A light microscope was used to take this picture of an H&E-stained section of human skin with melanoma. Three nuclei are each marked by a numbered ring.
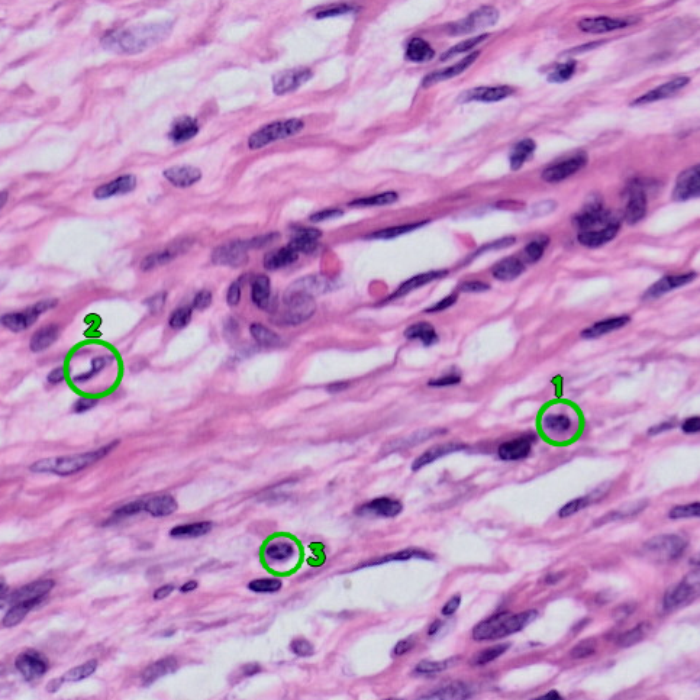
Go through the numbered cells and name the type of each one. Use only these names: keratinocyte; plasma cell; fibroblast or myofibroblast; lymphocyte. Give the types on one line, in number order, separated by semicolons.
plasma cell; fibroblast or myofibroblast; plasma cell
